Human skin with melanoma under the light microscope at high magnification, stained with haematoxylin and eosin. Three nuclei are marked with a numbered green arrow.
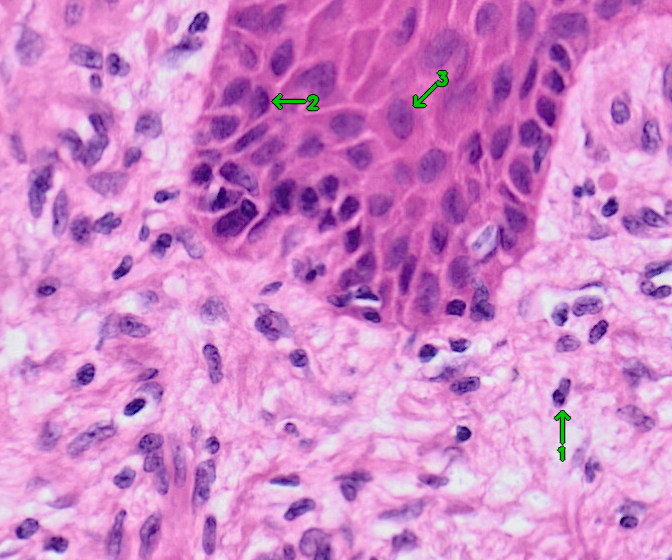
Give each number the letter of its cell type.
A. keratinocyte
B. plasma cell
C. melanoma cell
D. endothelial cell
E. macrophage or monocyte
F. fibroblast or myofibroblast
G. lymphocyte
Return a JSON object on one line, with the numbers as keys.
{"1": "G", "2": "A", "3": "A"}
